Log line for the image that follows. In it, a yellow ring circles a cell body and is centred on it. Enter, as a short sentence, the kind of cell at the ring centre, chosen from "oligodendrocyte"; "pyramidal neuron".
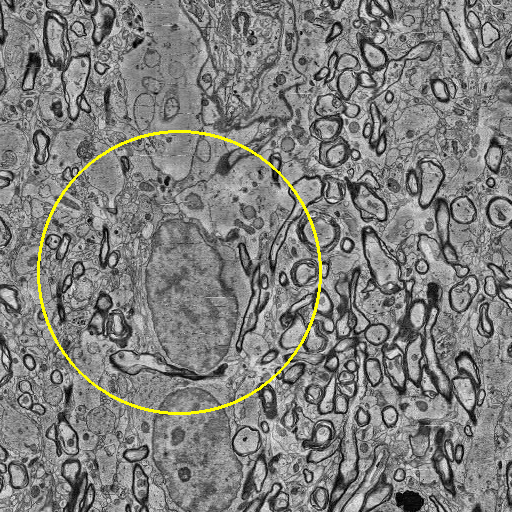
The ring centre is occupied by an oligodendrocyte.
